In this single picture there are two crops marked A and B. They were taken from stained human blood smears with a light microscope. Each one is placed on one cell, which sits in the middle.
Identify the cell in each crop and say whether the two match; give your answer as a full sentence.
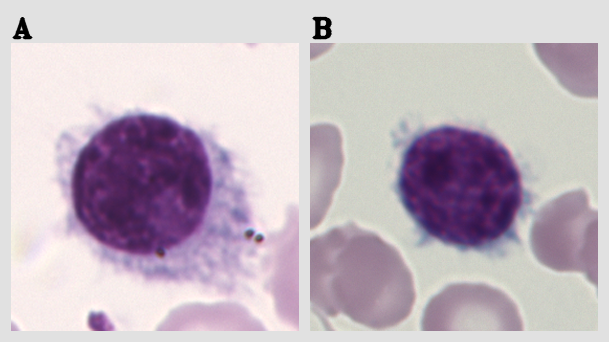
Yes, both crops show hairy cells, and the two match.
